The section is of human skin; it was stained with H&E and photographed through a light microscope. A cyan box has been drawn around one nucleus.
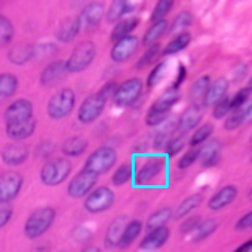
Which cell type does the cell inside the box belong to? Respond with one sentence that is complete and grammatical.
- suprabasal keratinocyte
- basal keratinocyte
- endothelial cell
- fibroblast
The classification of the cell inside the box is as a basal keratinocyte.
